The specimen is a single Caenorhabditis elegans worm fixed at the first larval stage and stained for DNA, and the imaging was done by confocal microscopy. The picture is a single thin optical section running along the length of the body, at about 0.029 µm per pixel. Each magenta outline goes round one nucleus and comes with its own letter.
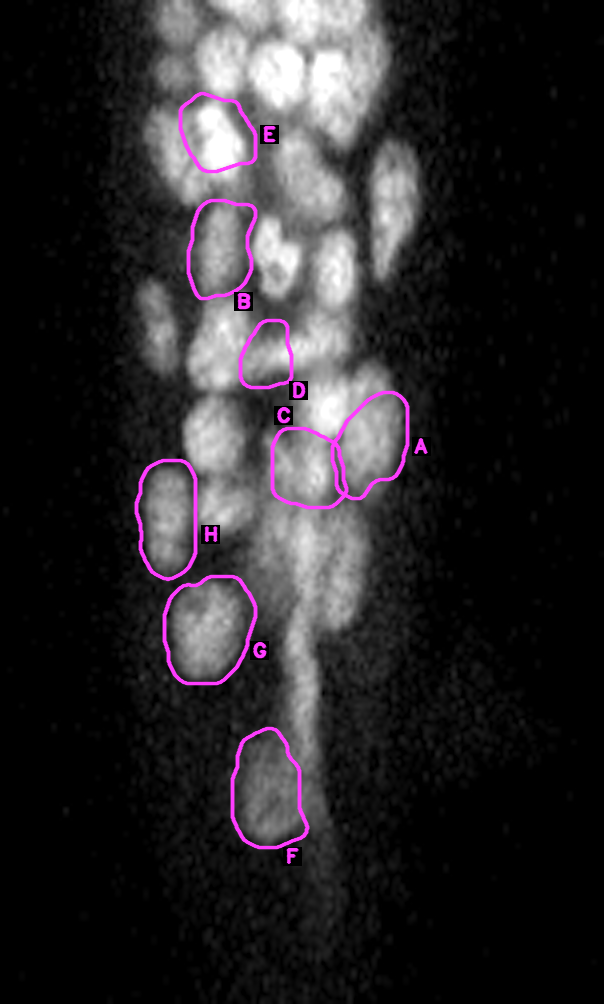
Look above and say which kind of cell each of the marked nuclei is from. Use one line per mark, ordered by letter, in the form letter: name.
A: body wall muscle cell
B: glial cell (sheath or socket)
C: glial cell (sheath or socket)
D: pharyngeal muscle cell
E: glial cell (sheath or socket)
F: hypodermal cell (hyp)
G: body wall muscle cell
H: body wall muscle cell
